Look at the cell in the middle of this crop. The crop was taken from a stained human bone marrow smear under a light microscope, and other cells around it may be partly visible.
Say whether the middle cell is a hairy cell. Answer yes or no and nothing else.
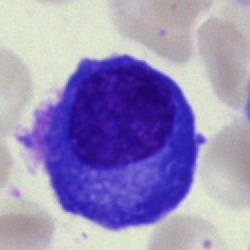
no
